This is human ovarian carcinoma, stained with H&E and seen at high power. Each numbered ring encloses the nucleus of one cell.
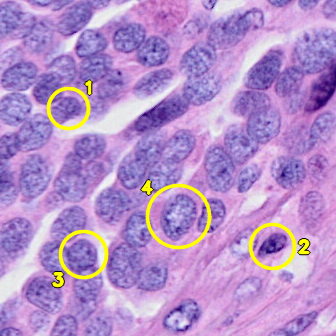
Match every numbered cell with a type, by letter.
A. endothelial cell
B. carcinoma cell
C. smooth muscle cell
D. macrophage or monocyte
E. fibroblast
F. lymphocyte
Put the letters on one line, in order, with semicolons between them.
B; F; B; B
